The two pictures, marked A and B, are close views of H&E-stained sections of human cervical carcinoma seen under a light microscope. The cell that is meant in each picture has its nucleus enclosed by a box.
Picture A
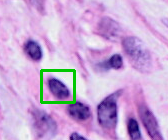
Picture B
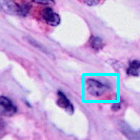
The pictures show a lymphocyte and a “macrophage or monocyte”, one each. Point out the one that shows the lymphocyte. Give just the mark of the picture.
A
